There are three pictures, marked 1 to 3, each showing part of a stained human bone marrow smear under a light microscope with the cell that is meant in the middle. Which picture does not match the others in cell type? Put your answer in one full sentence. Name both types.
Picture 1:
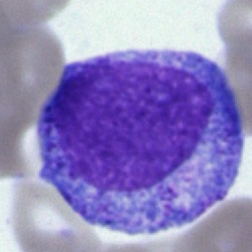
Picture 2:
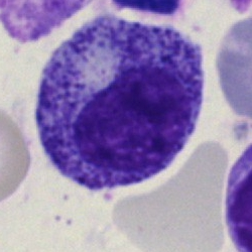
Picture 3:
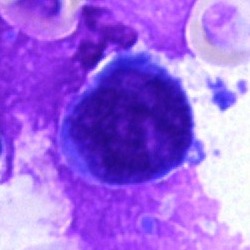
The different one is picture 3; it shows a blast, whereas all the others show promyelocytes.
